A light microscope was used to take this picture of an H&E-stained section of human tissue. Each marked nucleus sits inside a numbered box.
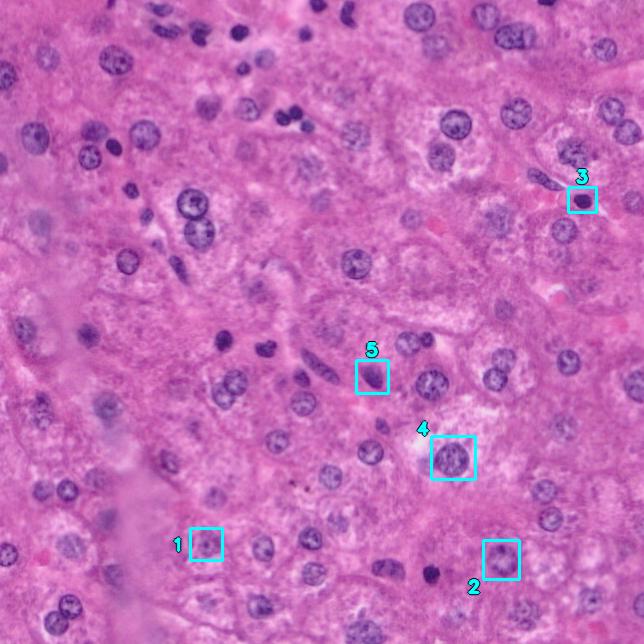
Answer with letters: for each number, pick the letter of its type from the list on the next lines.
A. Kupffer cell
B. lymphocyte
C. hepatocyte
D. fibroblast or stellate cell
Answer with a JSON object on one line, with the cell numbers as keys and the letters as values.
{"1": "C", "2": "C", "3": "B", "4": "C", "5": "D"}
